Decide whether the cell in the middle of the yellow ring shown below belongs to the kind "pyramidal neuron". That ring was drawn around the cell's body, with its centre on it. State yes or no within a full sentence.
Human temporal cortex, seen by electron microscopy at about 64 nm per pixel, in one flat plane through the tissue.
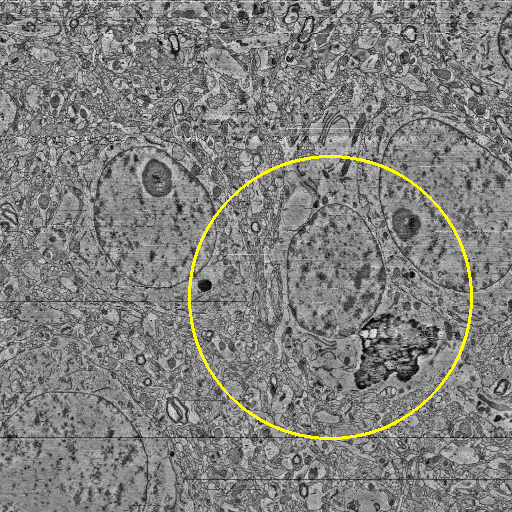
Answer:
No, the cell whose body lies at the ring's centre in the picture belongs to a different kind.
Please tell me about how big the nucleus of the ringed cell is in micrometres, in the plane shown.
In this plane, roughly 9 by 6 micrometres.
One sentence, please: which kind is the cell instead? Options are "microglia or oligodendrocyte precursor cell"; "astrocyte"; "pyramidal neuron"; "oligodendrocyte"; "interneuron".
The ring's central cell is an astrocyte instead.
